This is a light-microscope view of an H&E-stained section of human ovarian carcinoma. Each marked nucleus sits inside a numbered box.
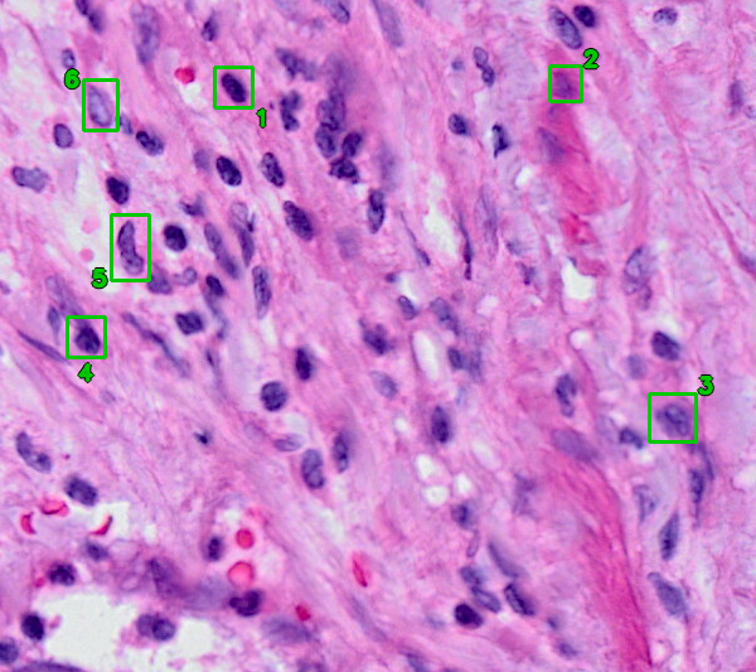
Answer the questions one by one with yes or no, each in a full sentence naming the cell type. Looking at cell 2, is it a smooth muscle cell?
Yes, correct, the cell with the number 2 is a smooth muscle cell.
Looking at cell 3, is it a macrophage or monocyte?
No, with respect, cell 3 is an endothelial cell rather than a macrophage or monocyte.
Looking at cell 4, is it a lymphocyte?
Yes, the cell tagged with number 4 is a lymphocyte.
